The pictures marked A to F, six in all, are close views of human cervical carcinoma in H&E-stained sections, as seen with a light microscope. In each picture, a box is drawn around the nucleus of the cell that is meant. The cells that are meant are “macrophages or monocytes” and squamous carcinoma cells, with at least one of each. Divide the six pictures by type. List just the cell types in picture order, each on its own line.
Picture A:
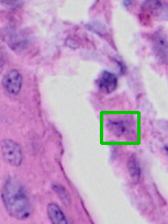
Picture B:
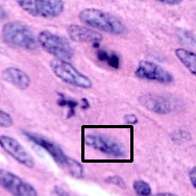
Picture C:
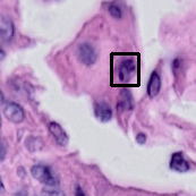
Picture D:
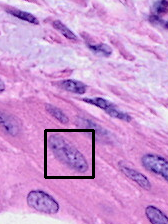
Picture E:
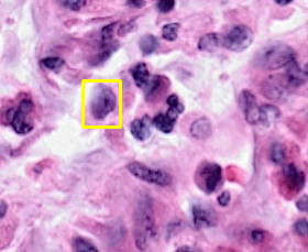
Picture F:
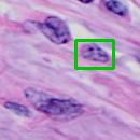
macrophage or monocyte
squamous carcinoma cell
squamous carcinoma cell
squamous carcinoma cell
macrophage or monocyte
macrophage or monocyte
